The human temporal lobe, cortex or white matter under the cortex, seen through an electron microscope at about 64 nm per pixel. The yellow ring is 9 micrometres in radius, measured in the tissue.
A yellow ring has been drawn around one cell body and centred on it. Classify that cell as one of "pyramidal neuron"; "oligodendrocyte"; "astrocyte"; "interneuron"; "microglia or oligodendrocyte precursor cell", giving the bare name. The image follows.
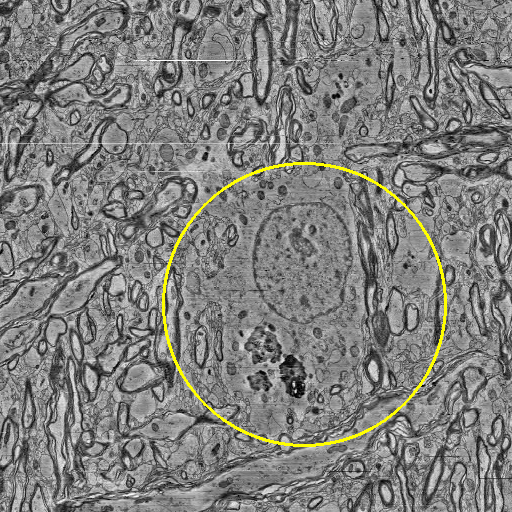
astrocyte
